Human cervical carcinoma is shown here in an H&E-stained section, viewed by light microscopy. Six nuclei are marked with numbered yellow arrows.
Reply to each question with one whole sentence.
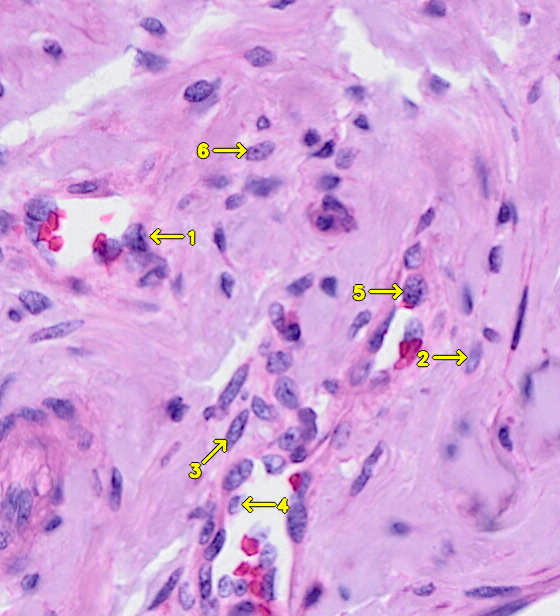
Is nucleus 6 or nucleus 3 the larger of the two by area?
At about 1.5 times the area of nucleus 6, nucleus 3 is the larger of the two.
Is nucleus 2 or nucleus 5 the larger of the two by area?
Nucleus 5 is the larger one, covering about 2 times the area of nucleus 2.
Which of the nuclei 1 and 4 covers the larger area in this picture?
Number 1 is larger; its area is about 3 times that of number 4.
